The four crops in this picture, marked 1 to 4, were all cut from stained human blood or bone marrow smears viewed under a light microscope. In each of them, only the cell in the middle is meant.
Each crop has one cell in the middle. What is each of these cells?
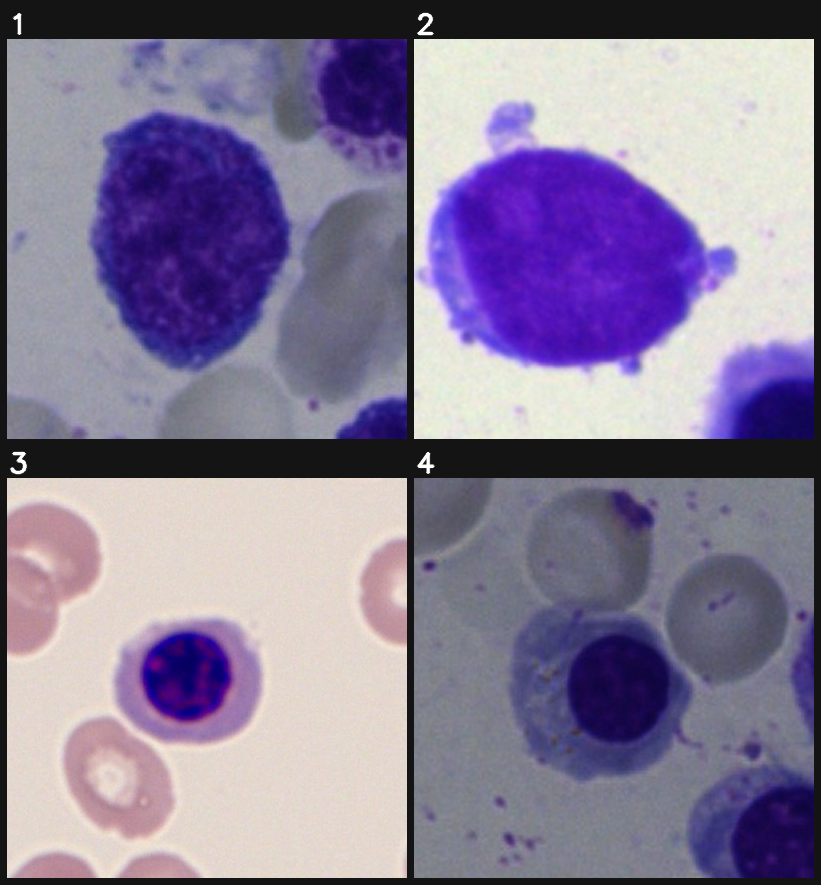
1: blast
2: blast
3: erythroblast
4: erythroblast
